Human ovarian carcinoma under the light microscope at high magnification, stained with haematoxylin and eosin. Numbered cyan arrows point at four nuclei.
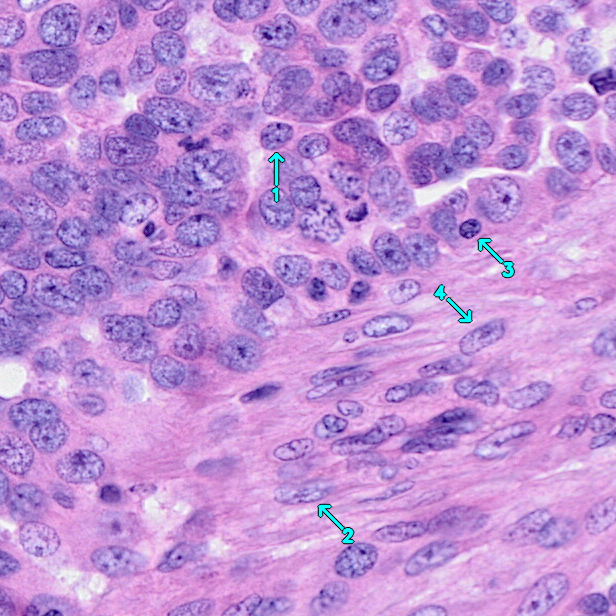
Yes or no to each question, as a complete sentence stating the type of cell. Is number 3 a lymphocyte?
Yes. The cell carrying number 3 is a lymphocyte.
